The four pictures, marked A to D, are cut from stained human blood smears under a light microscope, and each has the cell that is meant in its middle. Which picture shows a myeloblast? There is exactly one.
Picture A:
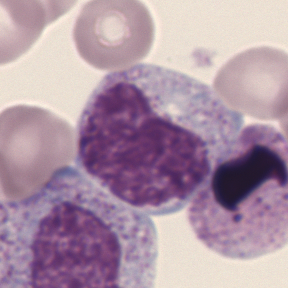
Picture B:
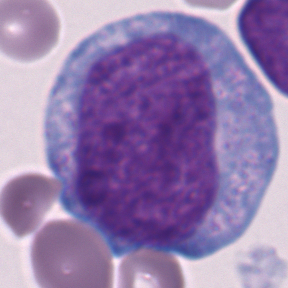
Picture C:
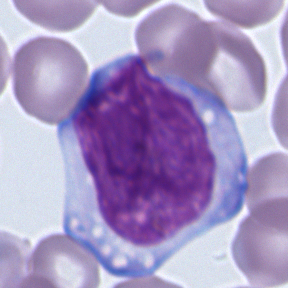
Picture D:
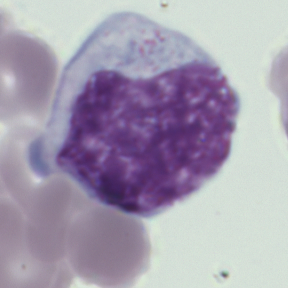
C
